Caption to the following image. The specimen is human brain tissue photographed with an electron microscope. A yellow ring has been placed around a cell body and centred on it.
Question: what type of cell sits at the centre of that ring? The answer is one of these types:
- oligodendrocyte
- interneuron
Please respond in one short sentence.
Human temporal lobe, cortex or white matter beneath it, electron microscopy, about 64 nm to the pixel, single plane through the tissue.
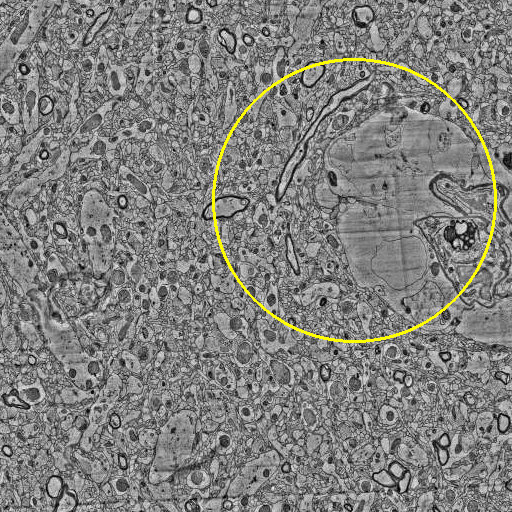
The ring surrounds the cell body of an oligodendrocyte.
